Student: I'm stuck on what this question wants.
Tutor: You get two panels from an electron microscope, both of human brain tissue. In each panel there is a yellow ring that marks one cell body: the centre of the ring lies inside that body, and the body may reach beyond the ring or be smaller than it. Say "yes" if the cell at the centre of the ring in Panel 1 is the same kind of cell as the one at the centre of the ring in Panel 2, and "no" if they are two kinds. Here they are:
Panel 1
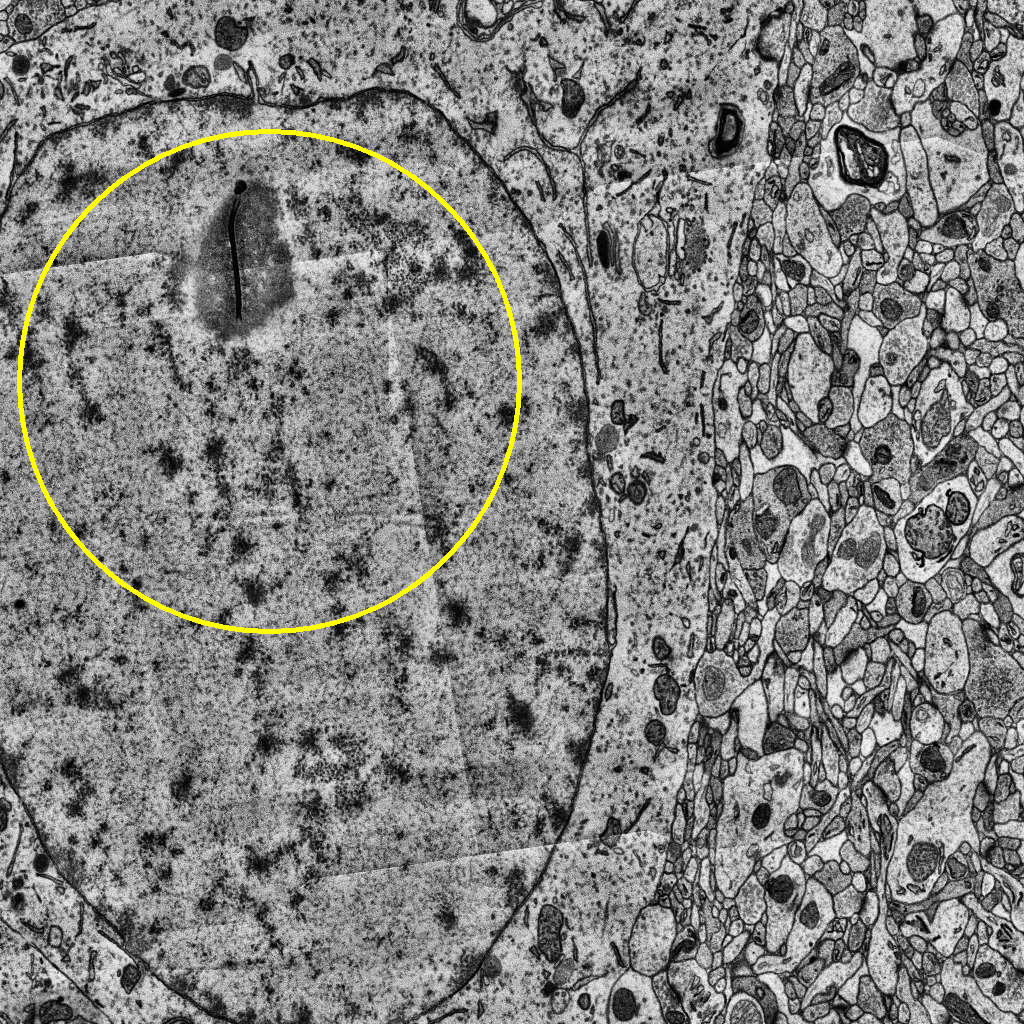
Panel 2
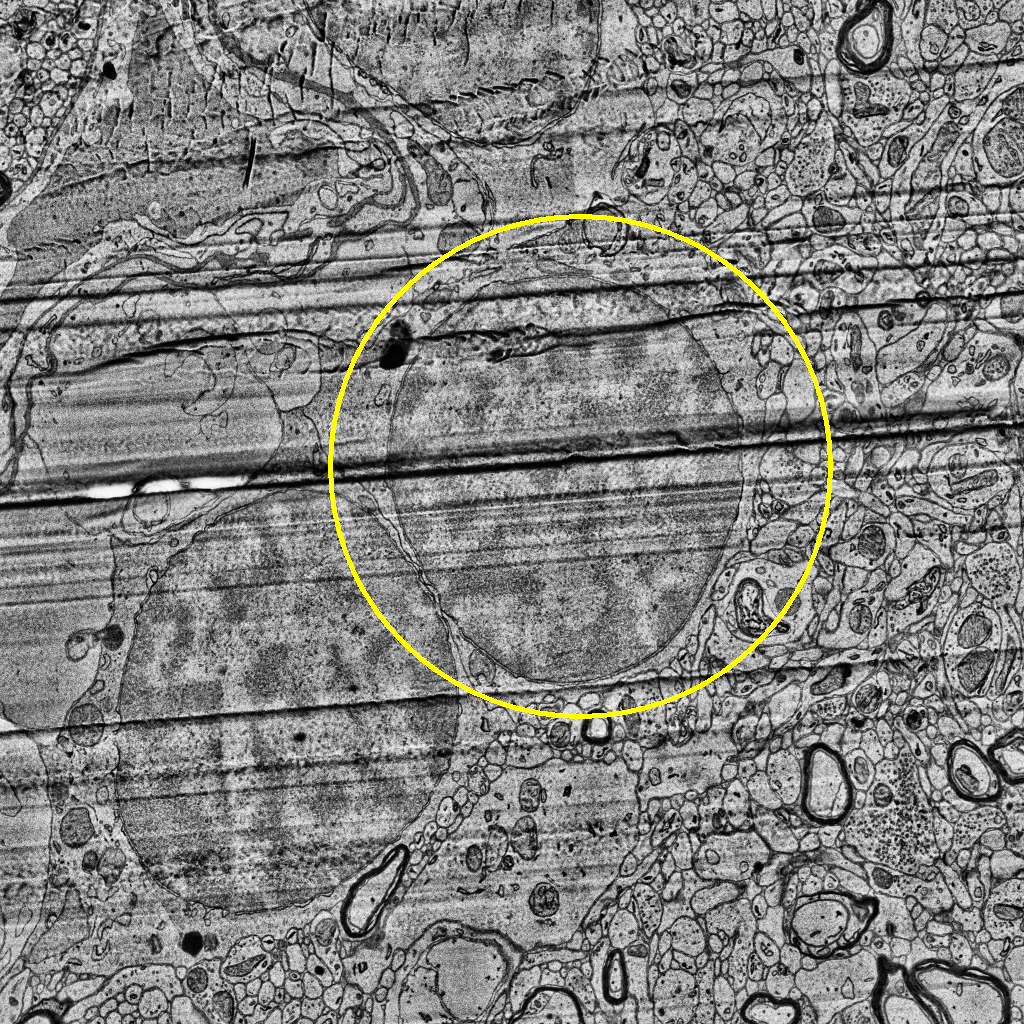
no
